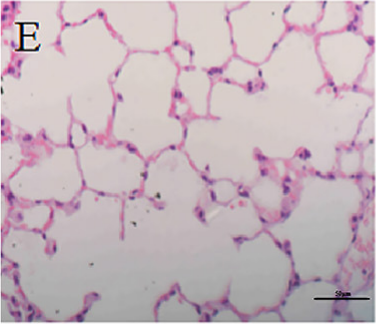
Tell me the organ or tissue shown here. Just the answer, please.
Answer: Lungs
